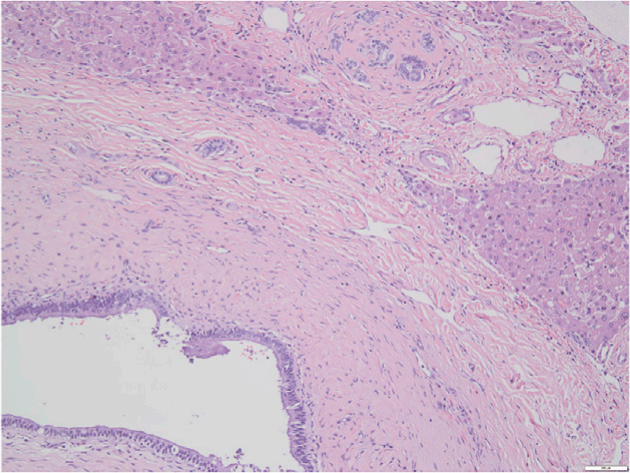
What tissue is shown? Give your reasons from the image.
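Columnar epithelium. A lumen at lower left is lined by a single row of tall cells. The lining cells have elongated dark purple nuclei set toward the base. The lining rests on a pink fibrous wall.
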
